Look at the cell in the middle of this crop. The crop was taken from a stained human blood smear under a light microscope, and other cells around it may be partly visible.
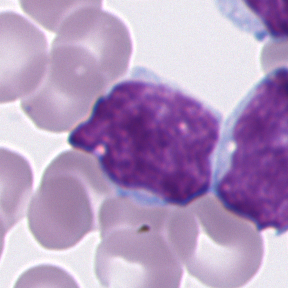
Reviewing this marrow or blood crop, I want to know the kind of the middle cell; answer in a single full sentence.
The crop centres on a single cell, and that cell is a typical lymphocyte.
